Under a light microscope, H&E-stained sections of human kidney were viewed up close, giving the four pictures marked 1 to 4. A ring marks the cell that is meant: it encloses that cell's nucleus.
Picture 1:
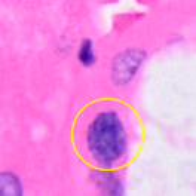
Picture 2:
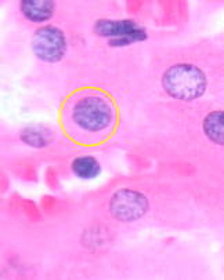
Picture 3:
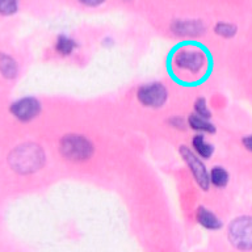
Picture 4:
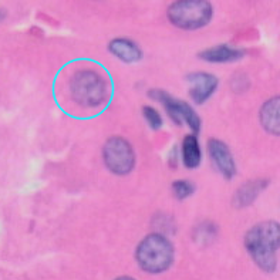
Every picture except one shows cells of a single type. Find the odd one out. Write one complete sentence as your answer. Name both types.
All pictures except 4 show “loop of Henle or distal tubule cells”; picture 4 shows a proximal tubule cell.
